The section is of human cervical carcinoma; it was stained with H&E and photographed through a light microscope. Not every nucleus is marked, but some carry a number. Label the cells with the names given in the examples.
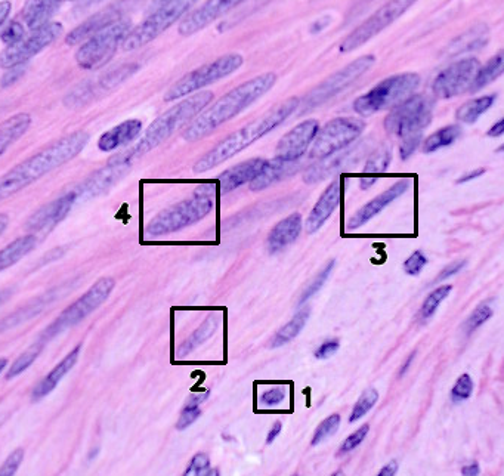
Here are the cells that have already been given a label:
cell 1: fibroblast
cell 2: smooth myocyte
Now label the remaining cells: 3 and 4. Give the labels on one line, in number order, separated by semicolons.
fibroblast; smooth myocyte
